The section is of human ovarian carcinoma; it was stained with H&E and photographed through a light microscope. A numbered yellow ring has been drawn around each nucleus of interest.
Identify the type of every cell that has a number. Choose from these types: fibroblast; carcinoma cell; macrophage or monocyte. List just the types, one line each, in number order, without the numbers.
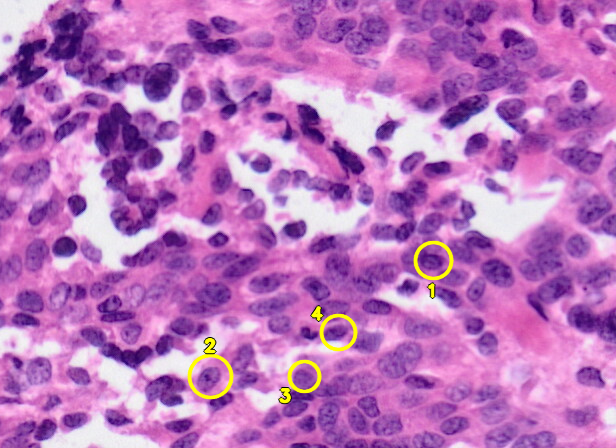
carcinoma cell
macrophage or monocyte
carcinoma cell
carcinoma cell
